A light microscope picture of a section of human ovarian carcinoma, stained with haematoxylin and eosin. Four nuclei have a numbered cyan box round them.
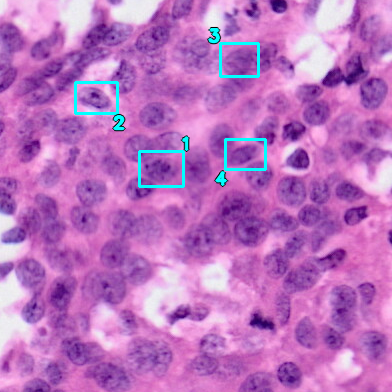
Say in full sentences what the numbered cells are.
Cells 1, 3 and 4 are carcinoma cells. Cell 2 is a macrophage or monocyte.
